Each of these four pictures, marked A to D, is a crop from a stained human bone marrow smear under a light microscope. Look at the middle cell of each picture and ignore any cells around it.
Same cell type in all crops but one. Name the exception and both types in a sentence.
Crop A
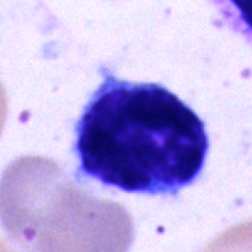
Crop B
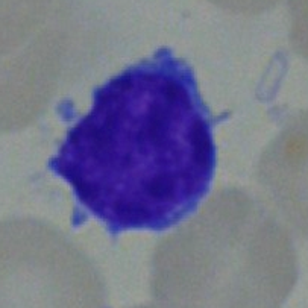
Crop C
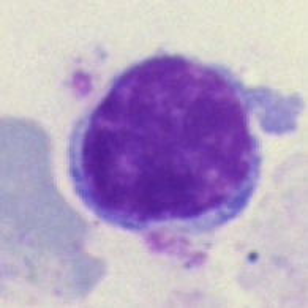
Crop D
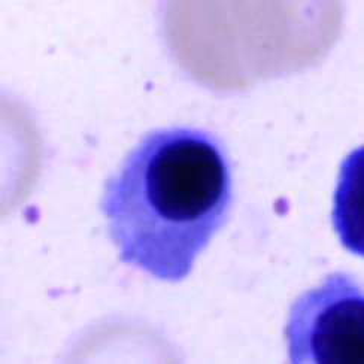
Crop D is the outlier, with an erythroblast against lymphocytes in the rest.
